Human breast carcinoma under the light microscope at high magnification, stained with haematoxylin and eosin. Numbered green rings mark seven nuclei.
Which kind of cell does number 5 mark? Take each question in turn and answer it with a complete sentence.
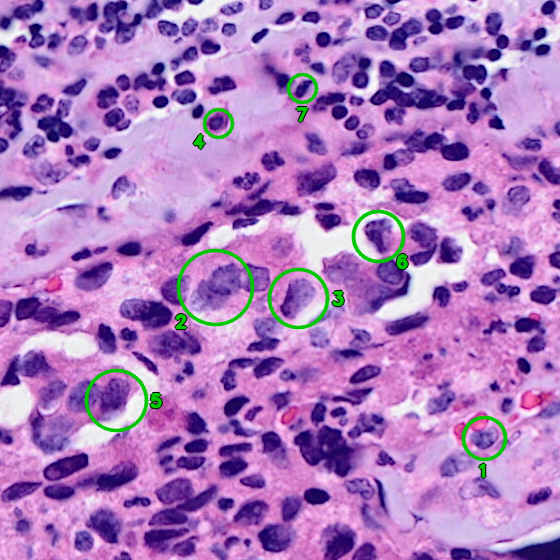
The expected answer is that cell 5 is a carcinoma cell.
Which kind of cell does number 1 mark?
Cell 1 of the marked set is an endothelial cell.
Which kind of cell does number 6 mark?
Numbered cell 6 is a carcinoma cell in this tissue section.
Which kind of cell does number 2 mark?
The cell that bears the number 2 is a carcinoma cell.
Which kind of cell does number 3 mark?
The nucleus with number 3 is that of a carcinoma cell.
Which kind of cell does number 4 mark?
The cell pointed out as number 4 is a mast cell.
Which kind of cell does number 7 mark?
The numbered cell 7 is identified here as a lymphocyte.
